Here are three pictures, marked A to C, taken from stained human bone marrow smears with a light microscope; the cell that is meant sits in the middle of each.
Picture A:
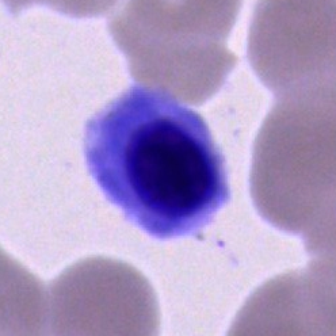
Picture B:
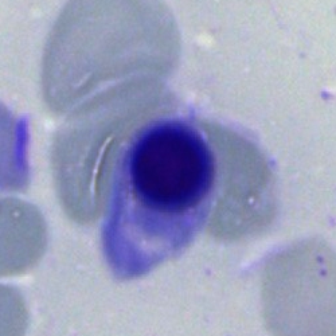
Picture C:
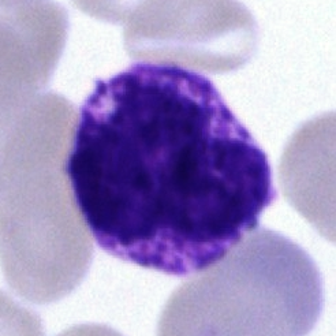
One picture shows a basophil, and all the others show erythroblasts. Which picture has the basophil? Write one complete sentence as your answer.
Picture C is the one that shows the basophil.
